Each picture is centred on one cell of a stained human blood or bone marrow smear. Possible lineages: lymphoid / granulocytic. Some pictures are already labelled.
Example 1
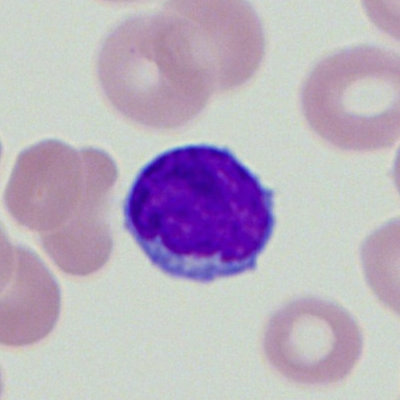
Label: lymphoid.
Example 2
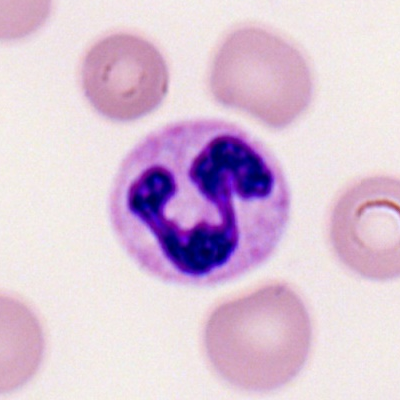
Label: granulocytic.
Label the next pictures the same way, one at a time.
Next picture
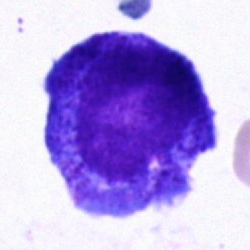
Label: granulocytic.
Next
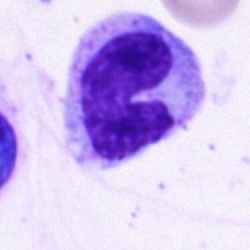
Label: granulocytic.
